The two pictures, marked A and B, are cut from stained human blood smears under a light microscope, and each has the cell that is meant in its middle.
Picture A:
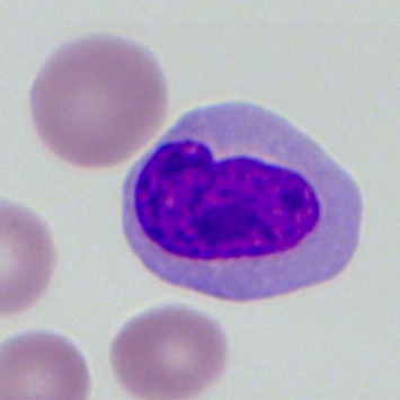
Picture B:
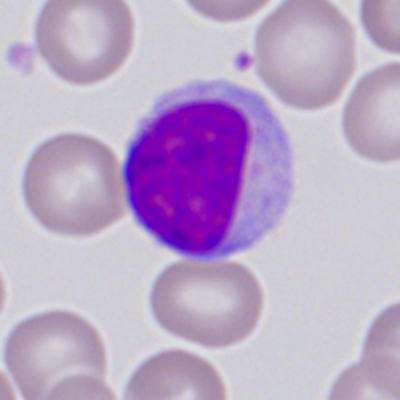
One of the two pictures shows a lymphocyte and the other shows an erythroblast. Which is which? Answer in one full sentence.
The cell in picture A is an erythroblast, and the one in picture B is a lymphocyte.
